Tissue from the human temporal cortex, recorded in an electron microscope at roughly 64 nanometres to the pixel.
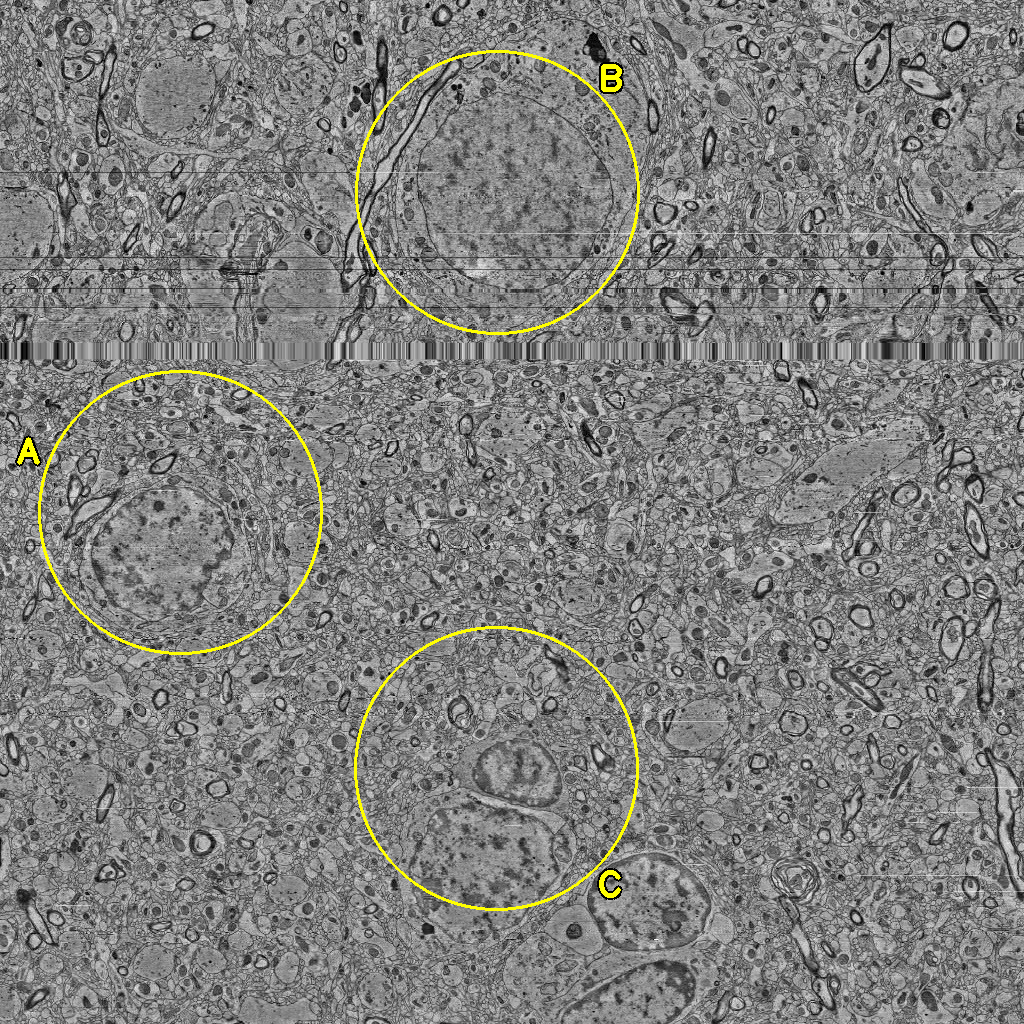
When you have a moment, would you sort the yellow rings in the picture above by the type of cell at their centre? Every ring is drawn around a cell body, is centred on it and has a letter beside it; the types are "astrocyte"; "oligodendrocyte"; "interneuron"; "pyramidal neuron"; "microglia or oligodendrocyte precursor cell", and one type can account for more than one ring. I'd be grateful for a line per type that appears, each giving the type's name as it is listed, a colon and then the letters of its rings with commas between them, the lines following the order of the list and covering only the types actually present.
oligodendrocyte: C
interneuron: A
pyramidal neuron: B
